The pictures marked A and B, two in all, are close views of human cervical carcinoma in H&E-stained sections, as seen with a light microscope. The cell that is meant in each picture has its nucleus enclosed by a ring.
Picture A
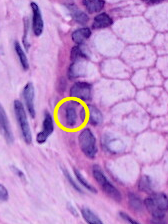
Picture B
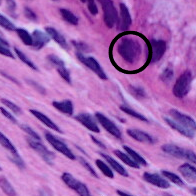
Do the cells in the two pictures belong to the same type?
yes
